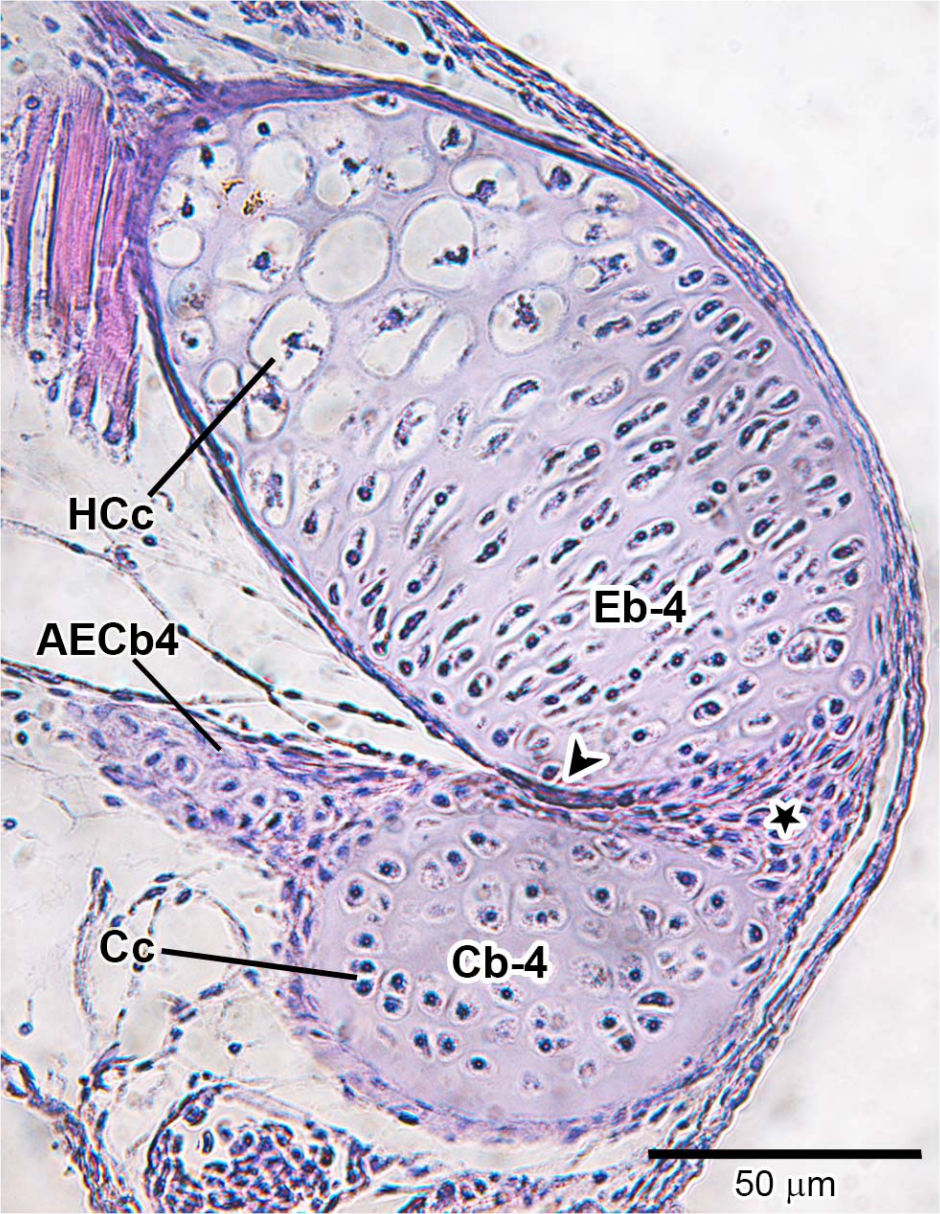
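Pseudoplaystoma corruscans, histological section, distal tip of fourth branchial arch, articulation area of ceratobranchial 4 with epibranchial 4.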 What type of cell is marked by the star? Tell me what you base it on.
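Densely packed small cells with dark nuclei and little cytoplasm lie between the two cartilage elements. These cells sit outside any cartilage matrix, without lacunae. That points to this answer: mesenchymal (undifferentiated) cells.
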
